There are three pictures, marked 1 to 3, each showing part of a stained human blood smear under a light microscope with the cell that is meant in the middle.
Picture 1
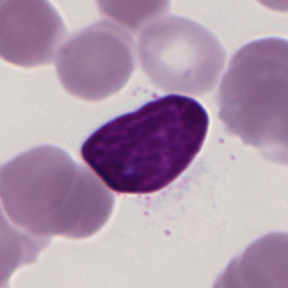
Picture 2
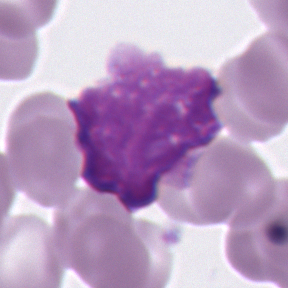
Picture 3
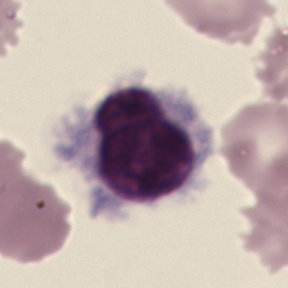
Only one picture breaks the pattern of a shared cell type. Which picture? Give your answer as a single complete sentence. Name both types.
The different one is picture 3; it shows a hairy cell, whereas all the others show smudge cells.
